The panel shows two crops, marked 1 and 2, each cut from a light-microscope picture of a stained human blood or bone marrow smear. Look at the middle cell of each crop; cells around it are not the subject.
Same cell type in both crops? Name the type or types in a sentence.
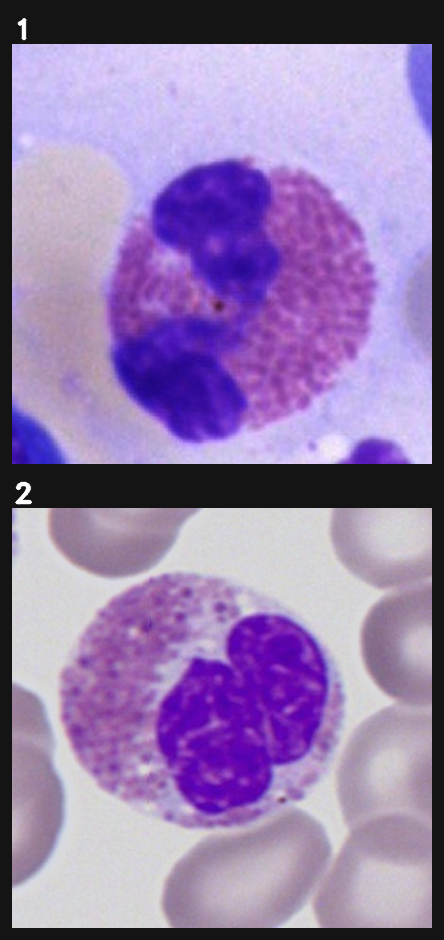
Yes, eosinophils are depicted in both crops.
